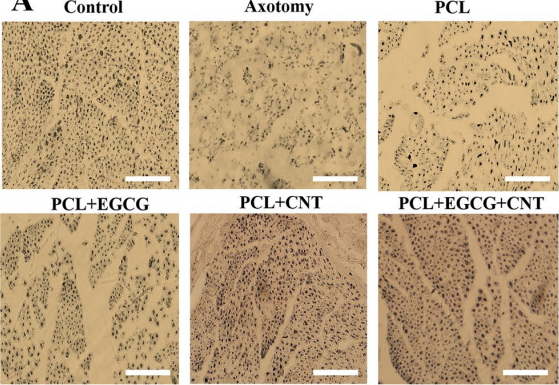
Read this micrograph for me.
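The dots are packed into bundles separated by pale, unstained spaces. In some images the dots are dense and the bundles broad and continuous, while in others they are sparse and the bundles are broken into small islands.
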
